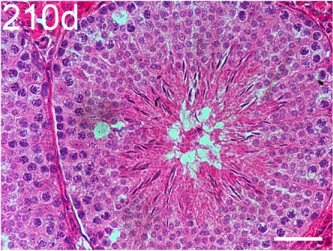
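A large cross-sectioned seminiferous tubule of a testis fills the field, lined by a thick, many-layered epithelium of spermatogenic cells. Near the thin outer wall lie small cells with dark purple nuclei; further in are layers of larger round cells with round purple nuclei and pale cytoplasm. Toward the centre, slender, dark, elongated heads are grouped in radiating bundles, with pink tails streaming into a central lumen that holds a few pale bluish patches. At the corners, parts of neighbouring tubules and narrow pink interstitial tissue can be seen.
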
